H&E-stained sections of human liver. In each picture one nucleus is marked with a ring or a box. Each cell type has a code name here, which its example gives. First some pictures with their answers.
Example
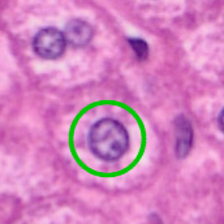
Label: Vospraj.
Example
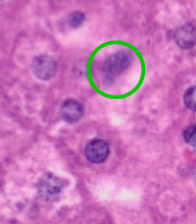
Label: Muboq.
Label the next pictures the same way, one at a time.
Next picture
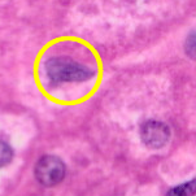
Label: Muboq.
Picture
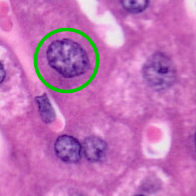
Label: Vospraj.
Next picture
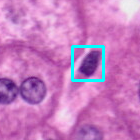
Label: Muboq.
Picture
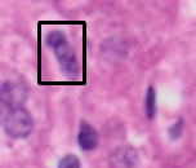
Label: Muboq.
